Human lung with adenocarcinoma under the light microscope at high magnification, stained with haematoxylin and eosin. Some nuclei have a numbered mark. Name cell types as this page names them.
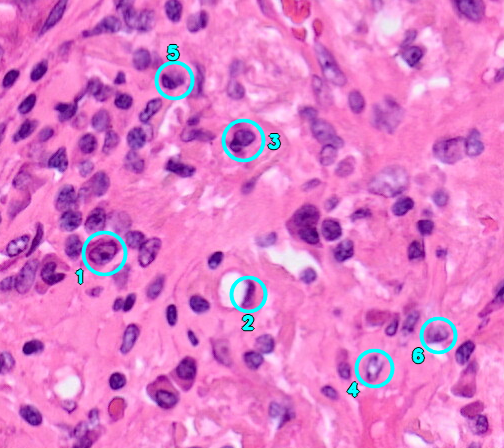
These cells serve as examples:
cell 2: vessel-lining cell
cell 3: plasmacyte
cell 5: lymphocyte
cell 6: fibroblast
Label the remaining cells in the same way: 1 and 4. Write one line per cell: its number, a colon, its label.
1: plasmacyte
4: fibroblast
